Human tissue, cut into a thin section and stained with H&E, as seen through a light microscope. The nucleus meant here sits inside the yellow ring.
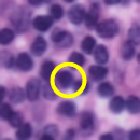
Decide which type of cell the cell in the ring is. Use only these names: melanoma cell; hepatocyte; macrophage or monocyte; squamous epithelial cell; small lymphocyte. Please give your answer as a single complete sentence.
Considered by cell type, the cell in the ring is a small lymphocyte.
